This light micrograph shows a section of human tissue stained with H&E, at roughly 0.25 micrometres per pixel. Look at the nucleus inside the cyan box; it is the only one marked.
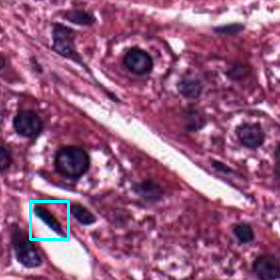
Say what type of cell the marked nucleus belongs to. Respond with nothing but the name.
endothelial cell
